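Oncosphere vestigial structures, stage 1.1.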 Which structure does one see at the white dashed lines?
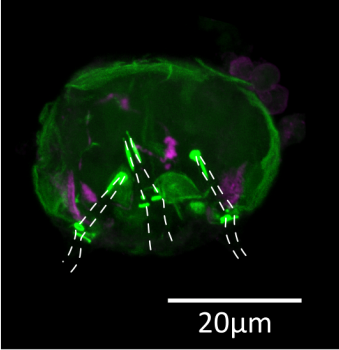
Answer: Larval hooks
